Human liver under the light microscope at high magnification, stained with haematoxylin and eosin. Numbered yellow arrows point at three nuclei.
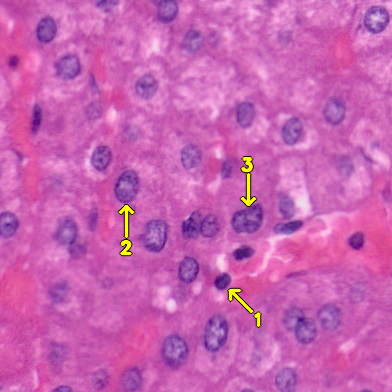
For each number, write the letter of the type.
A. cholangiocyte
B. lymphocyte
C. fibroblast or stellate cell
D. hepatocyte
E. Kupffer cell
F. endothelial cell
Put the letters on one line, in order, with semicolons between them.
B; D; D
